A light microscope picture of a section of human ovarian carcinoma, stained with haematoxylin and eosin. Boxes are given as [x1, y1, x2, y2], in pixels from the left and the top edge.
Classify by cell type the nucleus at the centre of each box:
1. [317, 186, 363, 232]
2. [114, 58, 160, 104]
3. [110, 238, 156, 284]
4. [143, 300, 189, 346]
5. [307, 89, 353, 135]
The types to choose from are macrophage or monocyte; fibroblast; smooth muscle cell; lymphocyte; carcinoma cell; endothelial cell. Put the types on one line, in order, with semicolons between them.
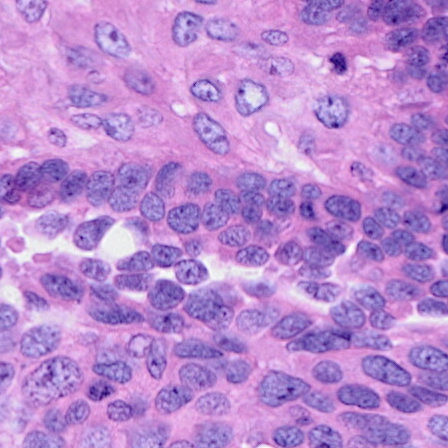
carcinoma cell; fibroblast; carcinoma cell; carcinoma cell; fibroblast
